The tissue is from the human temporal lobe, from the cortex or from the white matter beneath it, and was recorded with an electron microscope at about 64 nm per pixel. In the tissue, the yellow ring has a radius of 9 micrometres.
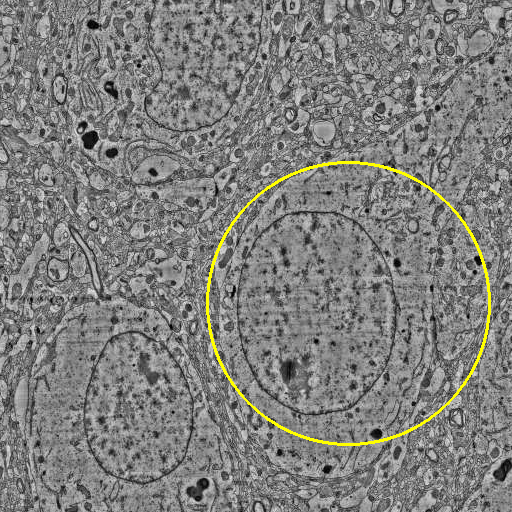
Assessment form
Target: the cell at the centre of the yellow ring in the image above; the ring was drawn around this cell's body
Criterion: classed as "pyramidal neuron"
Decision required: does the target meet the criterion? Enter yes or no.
yes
